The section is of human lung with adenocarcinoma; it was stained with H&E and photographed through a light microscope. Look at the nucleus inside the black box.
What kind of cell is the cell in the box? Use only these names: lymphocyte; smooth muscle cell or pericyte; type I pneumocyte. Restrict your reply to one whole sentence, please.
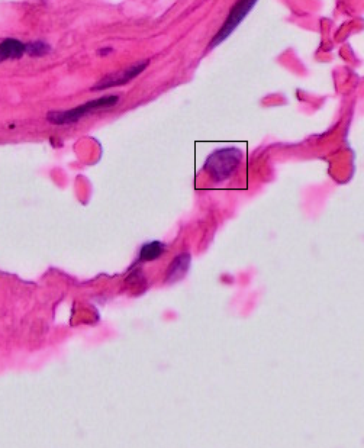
As a matter of cell type, the cell in the box is a type I pneumocyte.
